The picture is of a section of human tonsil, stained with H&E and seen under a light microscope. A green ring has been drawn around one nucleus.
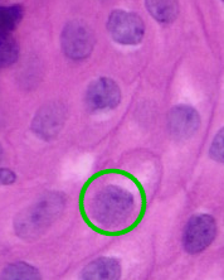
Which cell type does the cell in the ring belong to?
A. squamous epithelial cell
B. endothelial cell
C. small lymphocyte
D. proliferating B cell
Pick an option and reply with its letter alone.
A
